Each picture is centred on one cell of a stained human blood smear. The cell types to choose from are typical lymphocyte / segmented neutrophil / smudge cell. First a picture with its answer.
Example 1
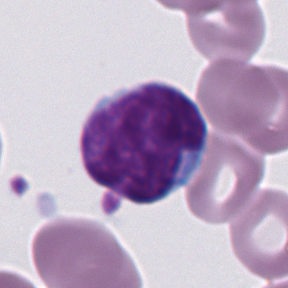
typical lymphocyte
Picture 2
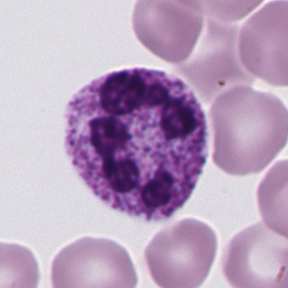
segmented neutrophil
